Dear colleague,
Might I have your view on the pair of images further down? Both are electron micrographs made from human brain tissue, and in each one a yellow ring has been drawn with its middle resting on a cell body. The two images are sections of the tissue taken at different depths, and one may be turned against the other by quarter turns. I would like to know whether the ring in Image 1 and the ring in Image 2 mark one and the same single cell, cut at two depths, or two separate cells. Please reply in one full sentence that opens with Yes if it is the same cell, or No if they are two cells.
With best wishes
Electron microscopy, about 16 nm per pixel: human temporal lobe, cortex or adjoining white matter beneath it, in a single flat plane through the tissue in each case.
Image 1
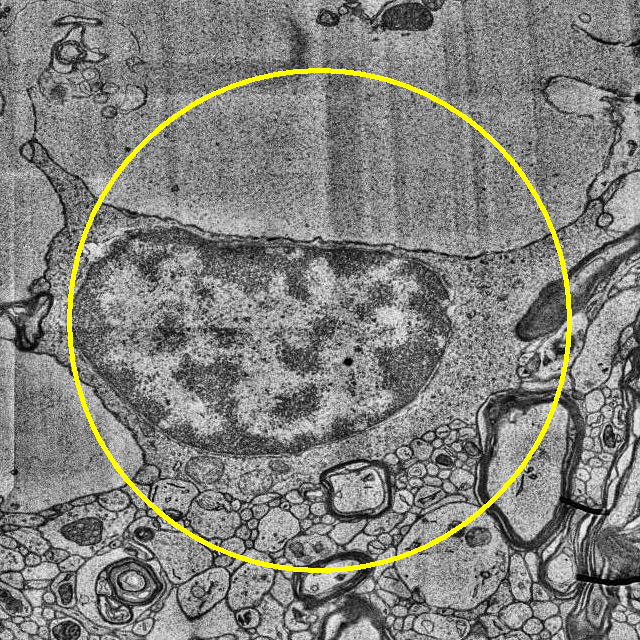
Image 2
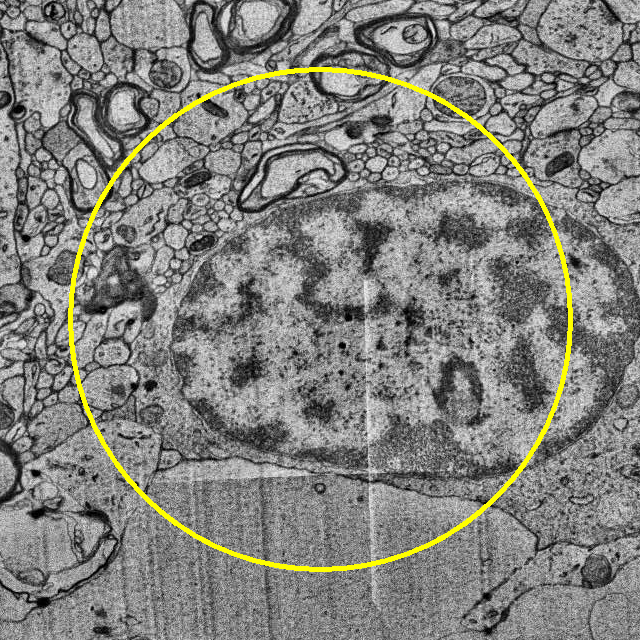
Yes, one cell is ringed in yellow twice over.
